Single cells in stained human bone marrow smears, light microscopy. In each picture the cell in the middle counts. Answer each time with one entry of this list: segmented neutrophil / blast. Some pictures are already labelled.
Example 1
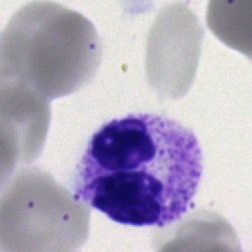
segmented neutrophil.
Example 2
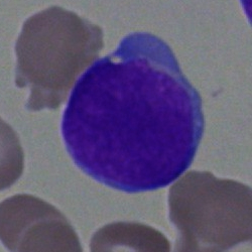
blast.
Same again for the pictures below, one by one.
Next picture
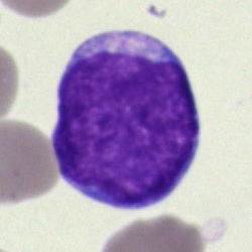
blast.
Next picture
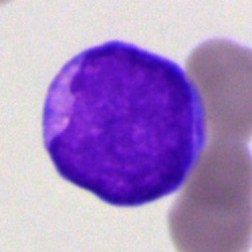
blast.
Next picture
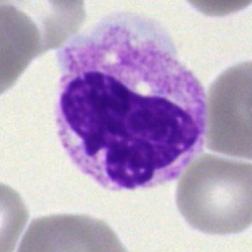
segmented neutrophil.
